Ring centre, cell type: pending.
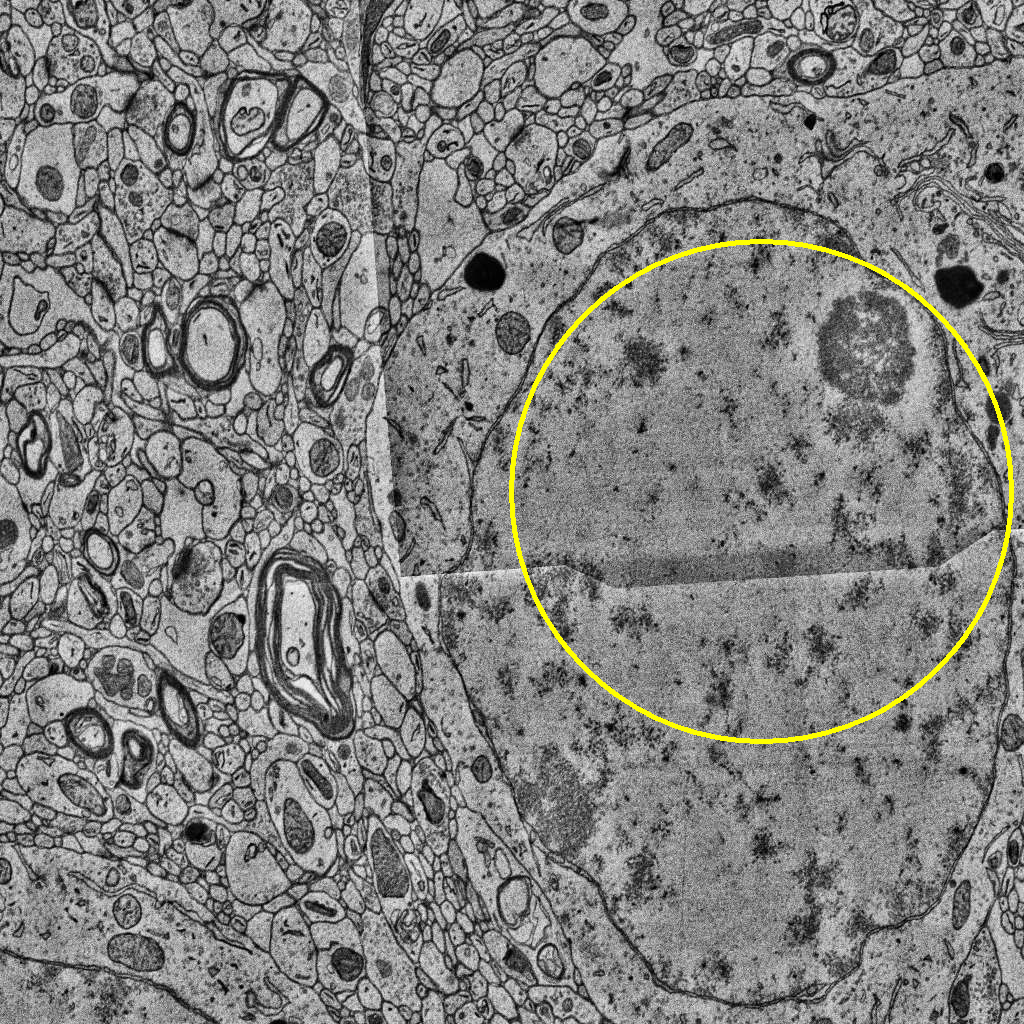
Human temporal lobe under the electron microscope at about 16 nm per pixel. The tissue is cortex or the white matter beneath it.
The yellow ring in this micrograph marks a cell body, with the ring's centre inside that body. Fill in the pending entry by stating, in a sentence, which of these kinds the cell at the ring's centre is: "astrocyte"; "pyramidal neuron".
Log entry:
The cell at the ring's centre is recorded as a pyramidal neuron.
